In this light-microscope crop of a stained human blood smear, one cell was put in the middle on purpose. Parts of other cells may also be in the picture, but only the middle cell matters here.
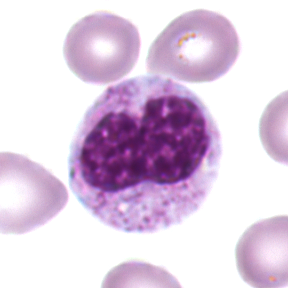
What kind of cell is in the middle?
band neutrophil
